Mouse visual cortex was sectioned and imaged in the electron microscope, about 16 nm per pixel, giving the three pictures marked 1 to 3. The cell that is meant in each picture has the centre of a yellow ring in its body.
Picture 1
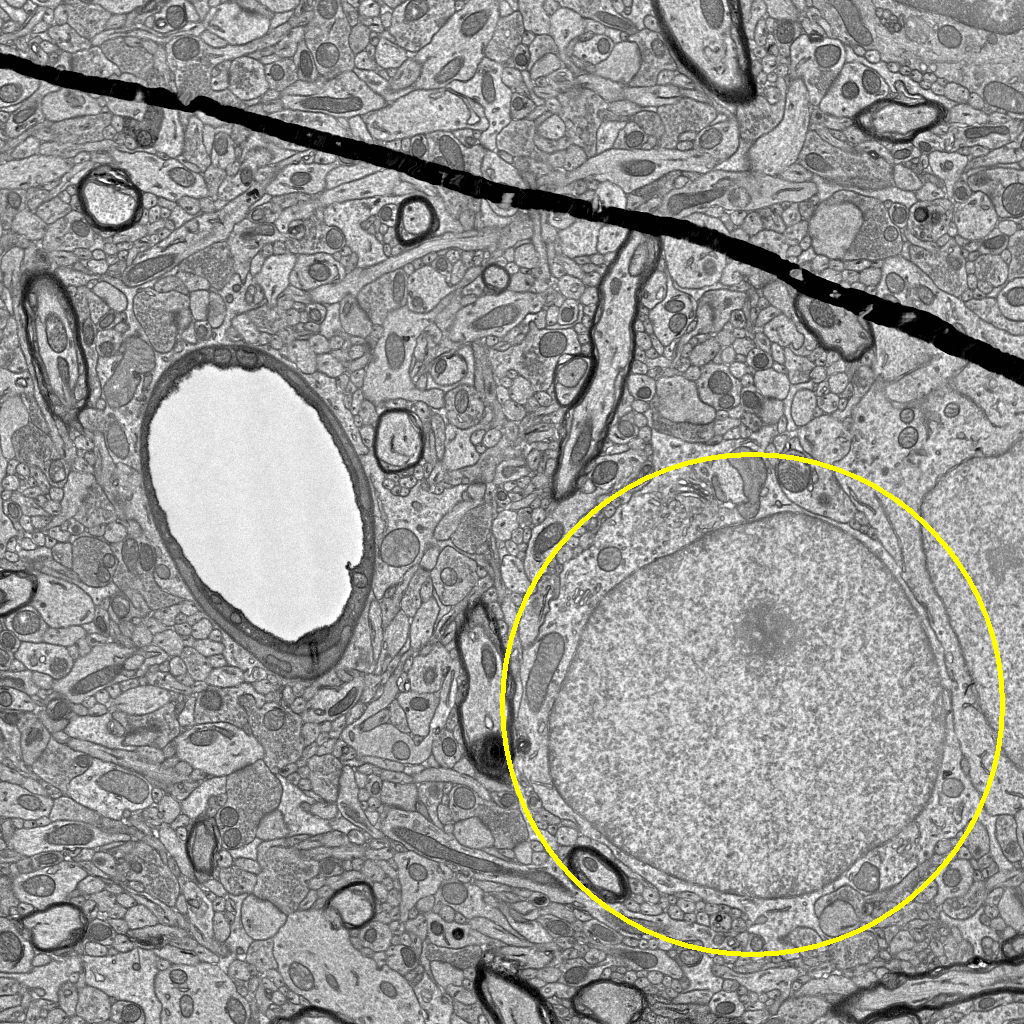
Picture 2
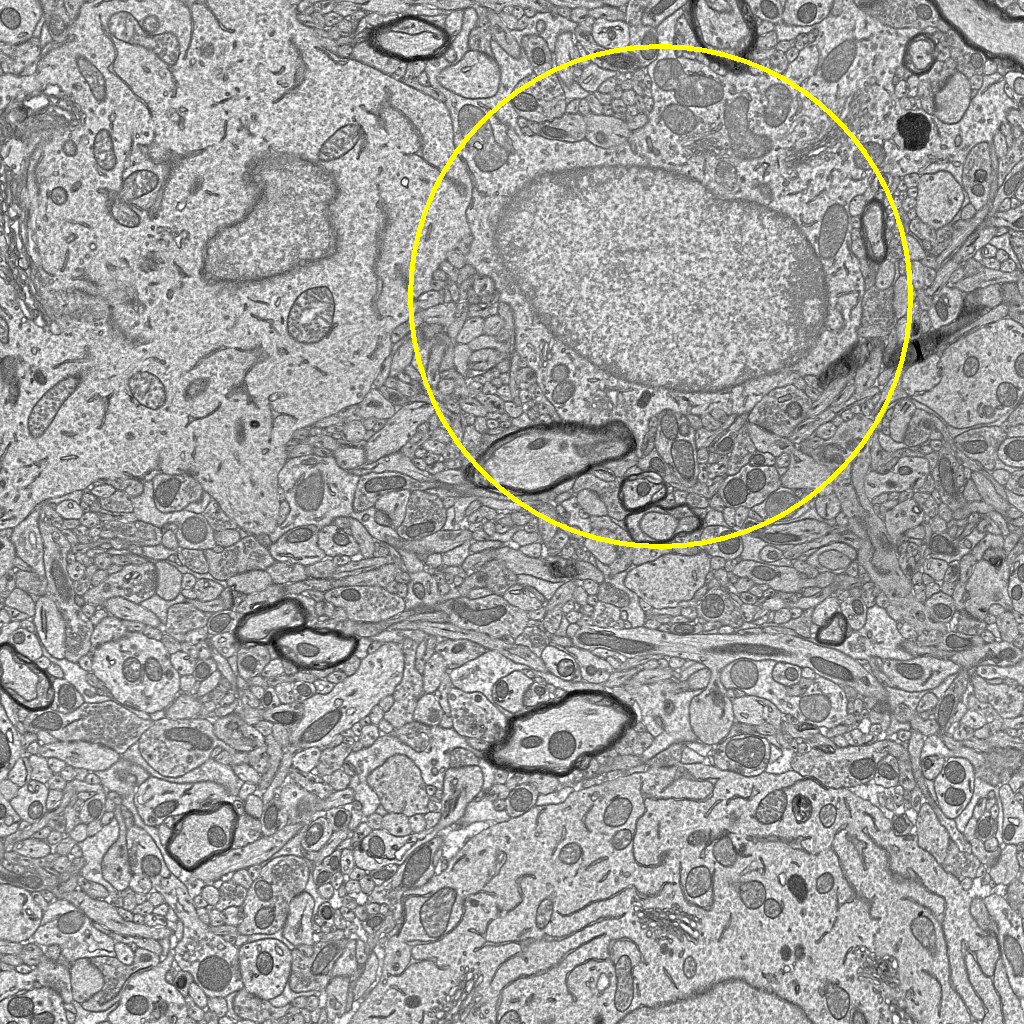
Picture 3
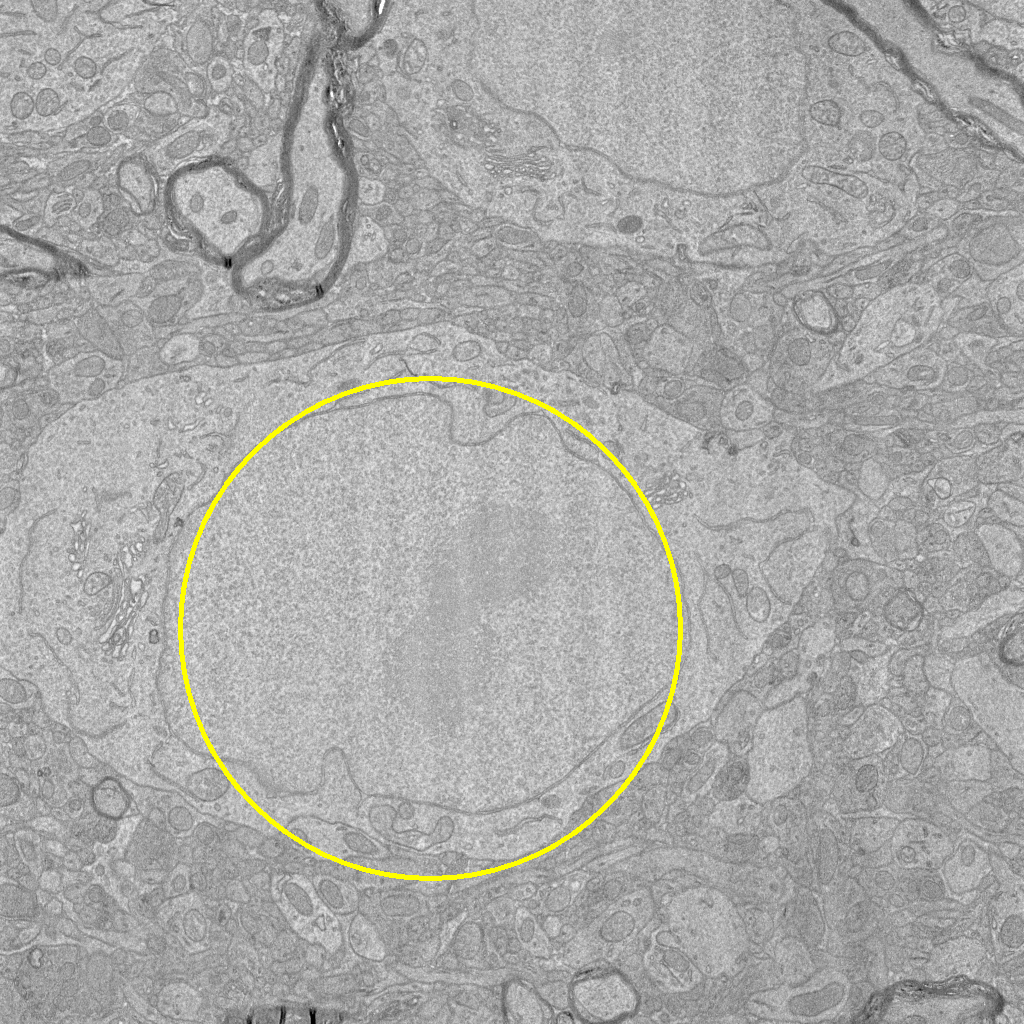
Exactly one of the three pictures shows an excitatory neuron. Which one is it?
Picture 3 is the one that shows the excitatory neuron.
